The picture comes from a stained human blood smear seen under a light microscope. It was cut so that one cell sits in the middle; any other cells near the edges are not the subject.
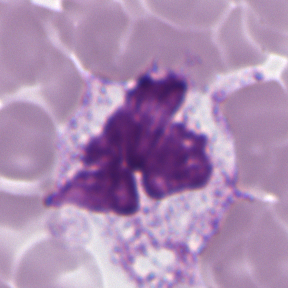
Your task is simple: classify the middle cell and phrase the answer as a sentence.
Within this crop, a segmented neutrophil occupies the central position.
